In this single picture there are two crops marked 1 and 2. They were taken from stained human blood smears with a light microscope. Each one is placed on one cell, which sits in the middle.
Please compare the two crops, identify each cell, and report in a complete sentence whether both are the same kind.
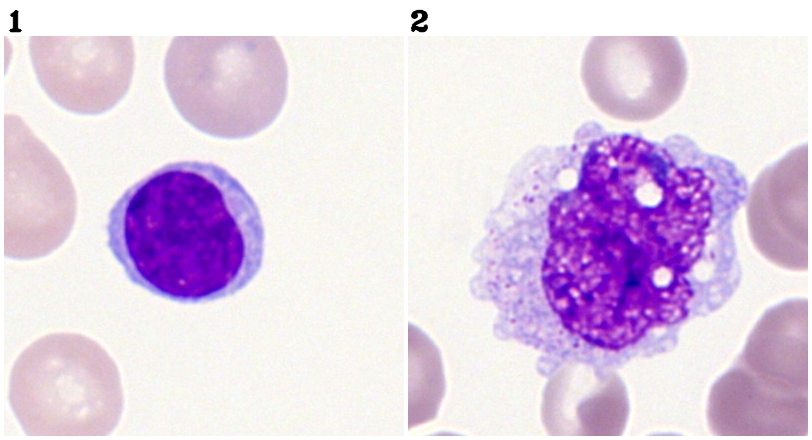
No, a monocyte is the cell of crop 2, while a lymphocyte is the cell of crop 1.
